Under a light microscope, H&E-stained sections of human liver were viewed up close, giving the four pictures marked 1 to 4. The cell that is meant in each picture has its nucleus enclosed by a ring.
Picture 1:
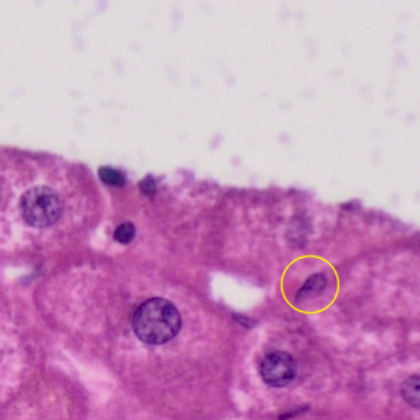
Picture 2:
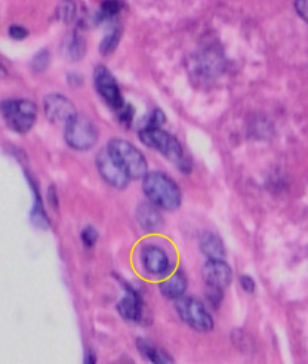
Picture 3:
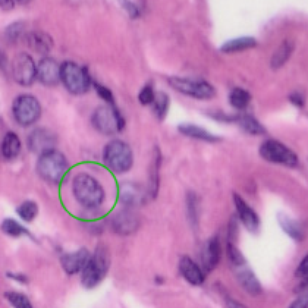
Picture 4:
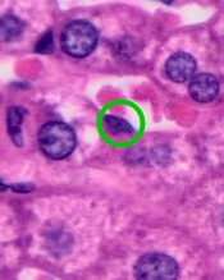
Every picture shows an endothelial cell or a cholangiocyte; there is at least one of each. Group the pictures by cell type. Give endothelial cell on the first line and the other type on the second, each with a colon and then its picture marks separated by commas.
endothelial cell: 1, 4
cholangiocyte: 2, 3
